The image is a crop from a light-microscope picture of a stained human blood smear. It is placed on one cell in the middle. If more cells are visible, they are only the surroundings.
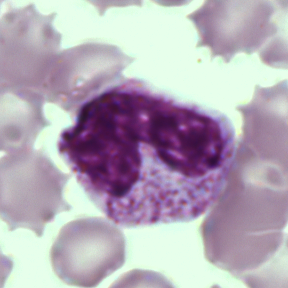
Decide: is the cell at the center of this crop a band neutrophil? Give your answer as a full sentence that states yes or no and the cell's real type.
Yes, the cell in the middle is rightly called a band neutrophil.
